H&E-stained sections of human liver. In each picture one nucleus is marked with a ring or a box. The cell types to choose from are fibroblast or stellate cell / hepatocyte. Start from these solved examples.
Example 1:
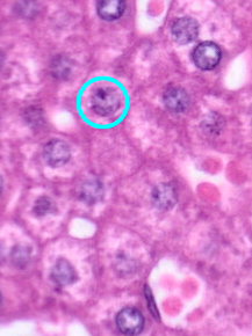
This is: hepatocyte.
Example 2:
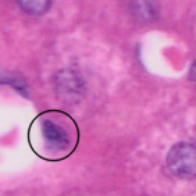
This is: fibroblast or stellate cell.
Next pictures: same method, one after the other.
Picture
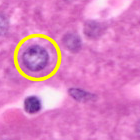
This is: hepatocyte.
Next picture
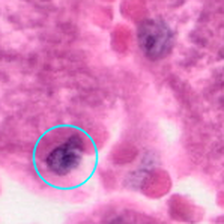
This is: fibroblast or stellate cell.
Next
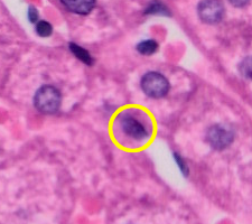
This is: fibroblast or stellate cell.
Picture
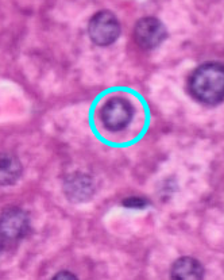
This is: hepatocyte.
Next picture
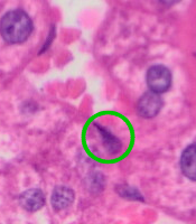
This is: fibroblast or stellate cell.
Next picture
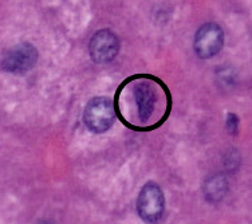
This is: fibroblast or stellate cell.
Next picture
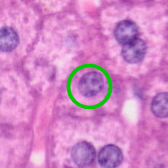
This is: hepatocyte.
